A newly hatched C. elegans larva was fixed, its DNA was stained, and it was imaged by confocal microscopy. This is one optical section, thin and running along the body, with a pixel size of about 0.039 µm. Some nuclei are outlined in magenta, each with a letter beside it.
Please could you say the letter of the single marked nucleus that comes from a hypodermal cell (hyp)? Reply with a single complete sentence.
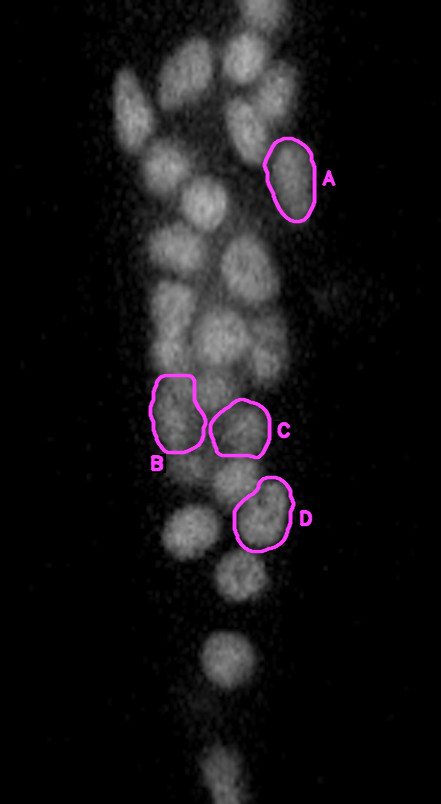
Nucleus D belongs to a hypodermal cell (hyp).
